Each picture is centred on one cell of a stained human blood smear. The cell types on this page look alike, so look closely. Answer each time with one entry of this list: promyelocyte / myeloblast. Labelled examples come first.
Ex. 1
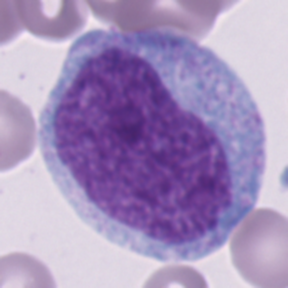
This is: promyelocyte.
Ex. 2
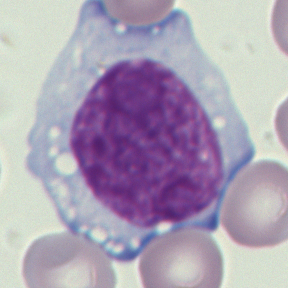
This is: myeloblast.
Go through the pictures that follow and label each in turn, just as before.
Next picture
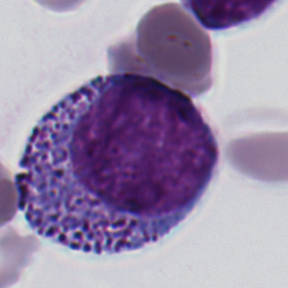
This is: promyelocyte.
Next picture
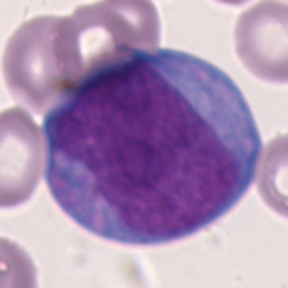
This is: promyelocyte.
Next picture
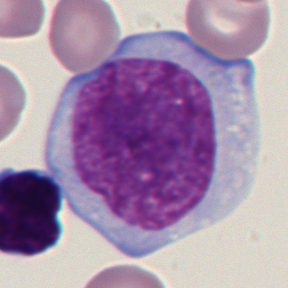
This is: myeloblast.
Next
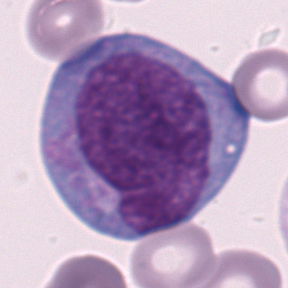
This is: promyelocyte.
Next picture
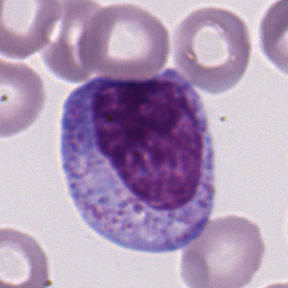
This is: promyelocyte.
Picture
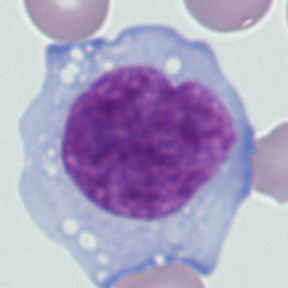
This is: myeloblast.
